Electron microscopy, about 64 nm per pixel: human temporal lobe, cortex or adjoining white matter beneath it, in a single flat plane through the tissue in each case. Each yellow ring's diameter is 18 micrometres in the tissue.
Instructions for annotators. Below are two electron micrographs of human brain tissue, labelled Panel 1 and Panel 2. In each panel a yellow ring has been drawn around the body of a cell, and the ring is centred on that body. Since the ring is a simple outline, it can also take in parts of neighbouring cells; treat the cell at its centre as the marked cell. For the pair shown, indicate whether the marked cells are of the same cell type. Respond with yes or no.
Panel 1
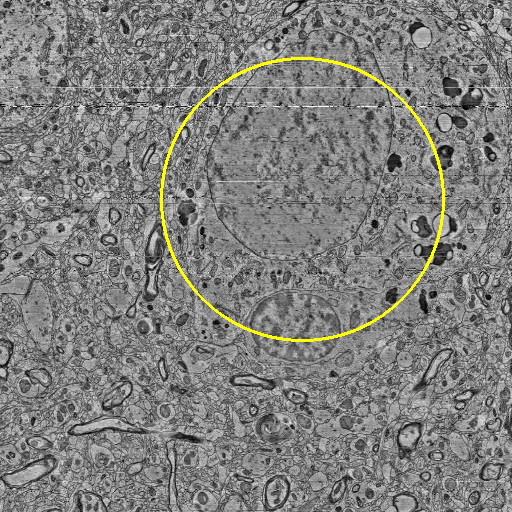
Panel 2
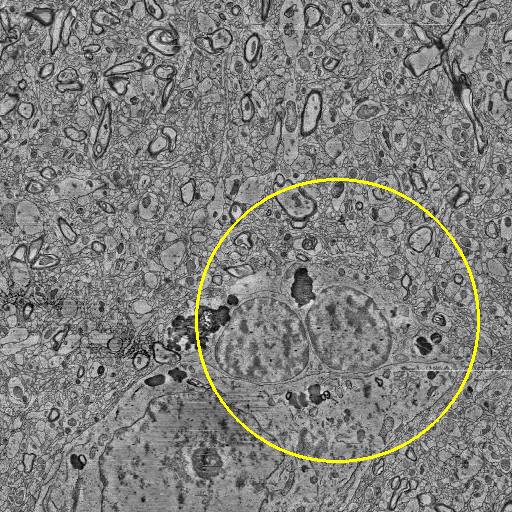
no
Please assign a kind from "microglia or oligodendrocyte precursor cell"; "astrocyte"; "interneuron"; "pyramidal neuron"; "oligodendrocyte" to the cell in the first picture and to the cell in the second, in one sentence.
In the first picture we have a pyramidal neuron, and in the second, an oligodendrocyte.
